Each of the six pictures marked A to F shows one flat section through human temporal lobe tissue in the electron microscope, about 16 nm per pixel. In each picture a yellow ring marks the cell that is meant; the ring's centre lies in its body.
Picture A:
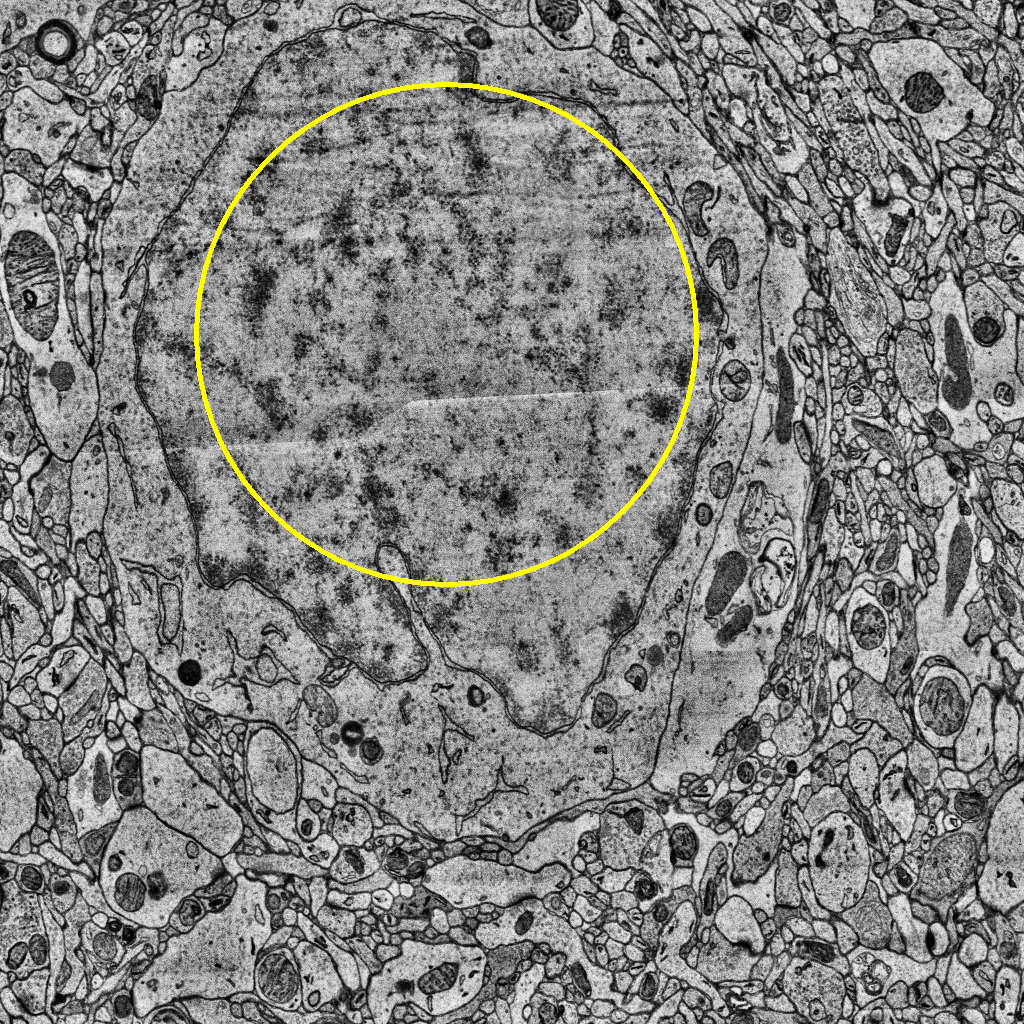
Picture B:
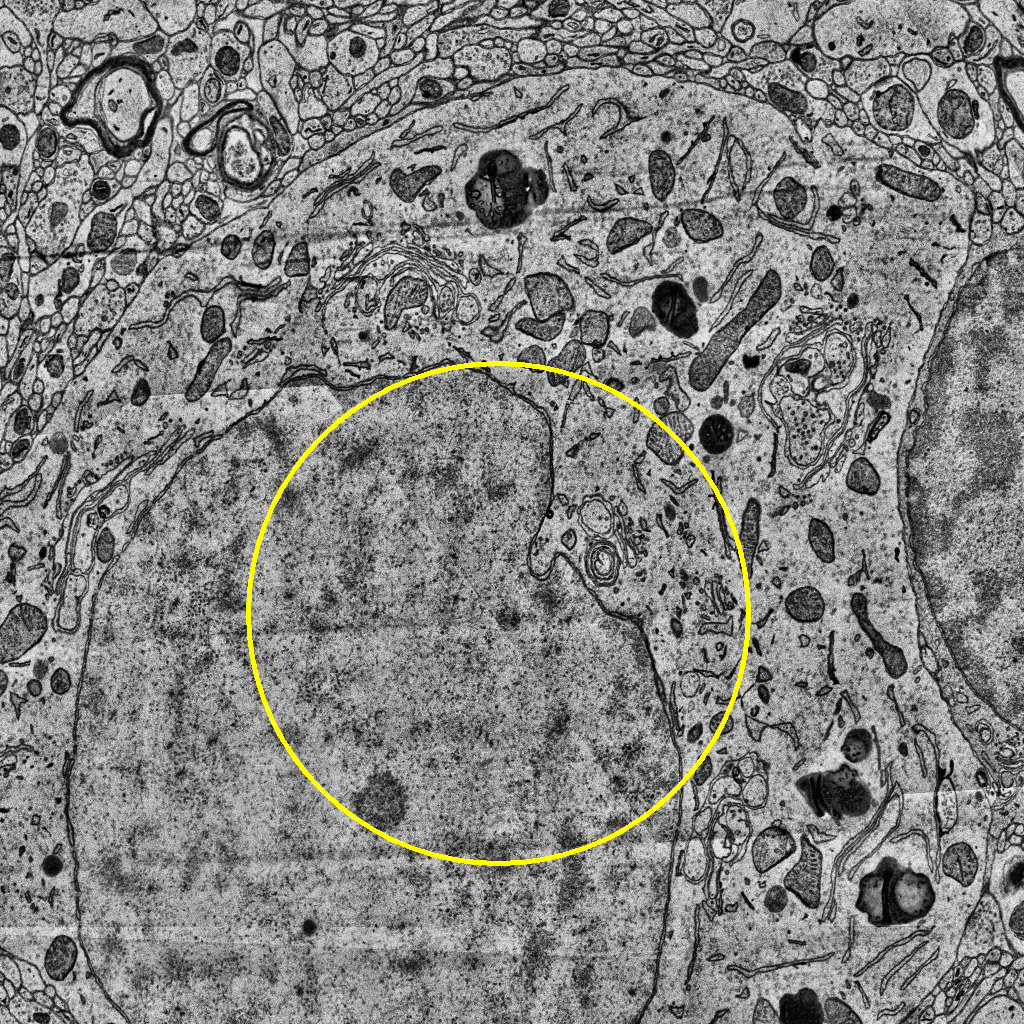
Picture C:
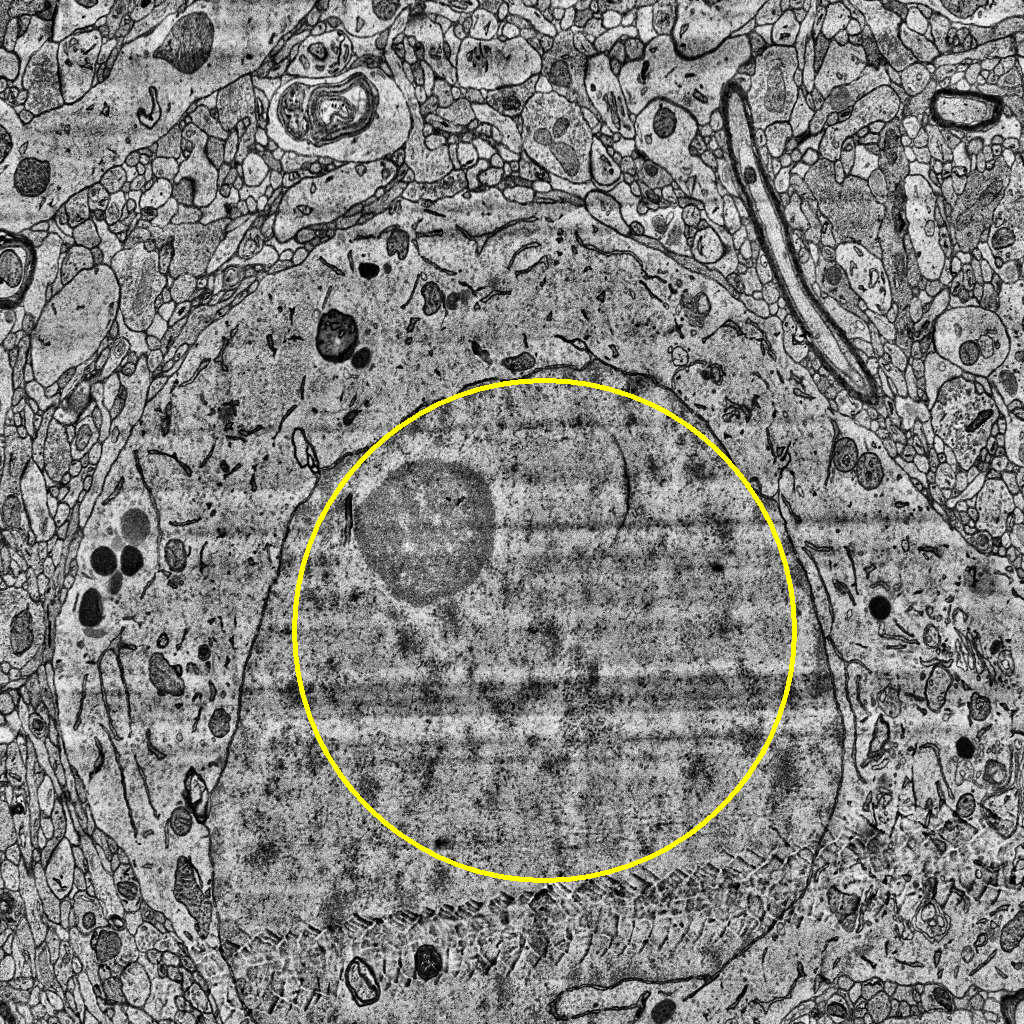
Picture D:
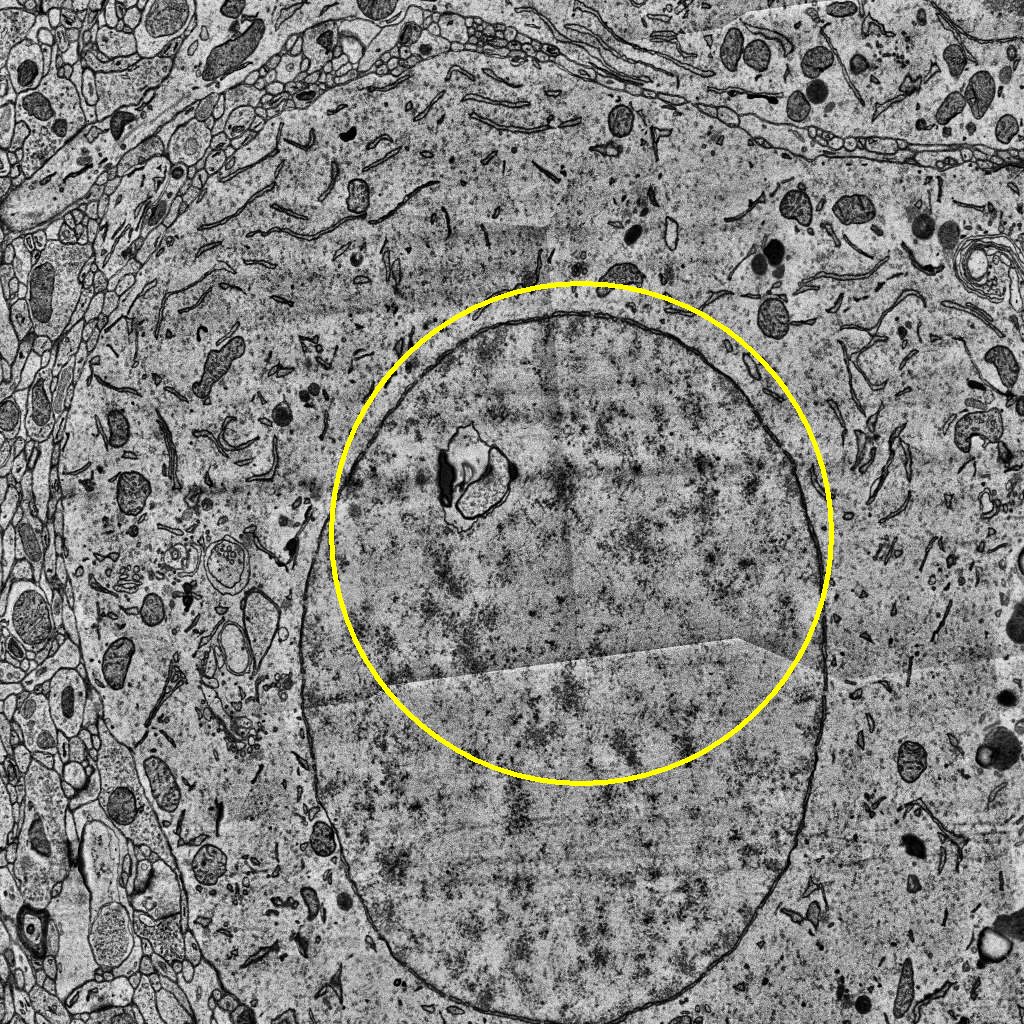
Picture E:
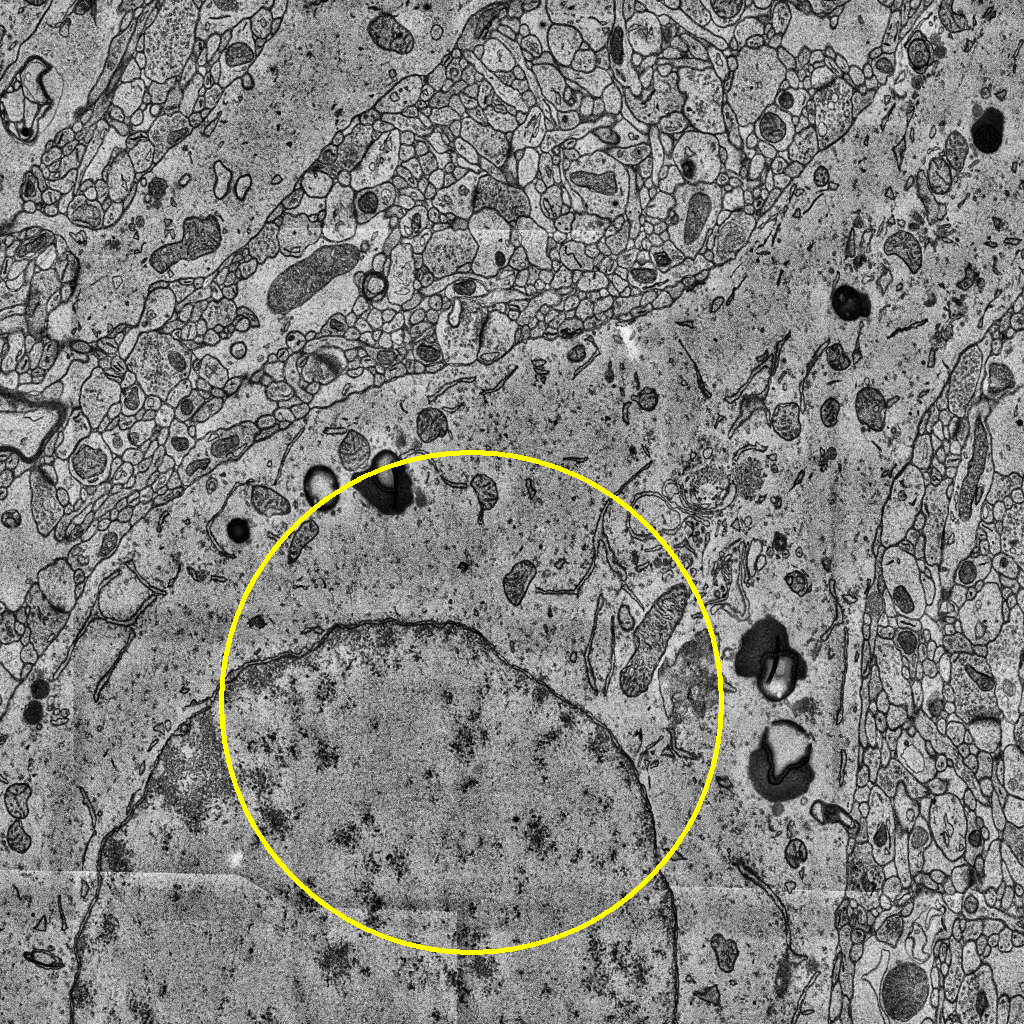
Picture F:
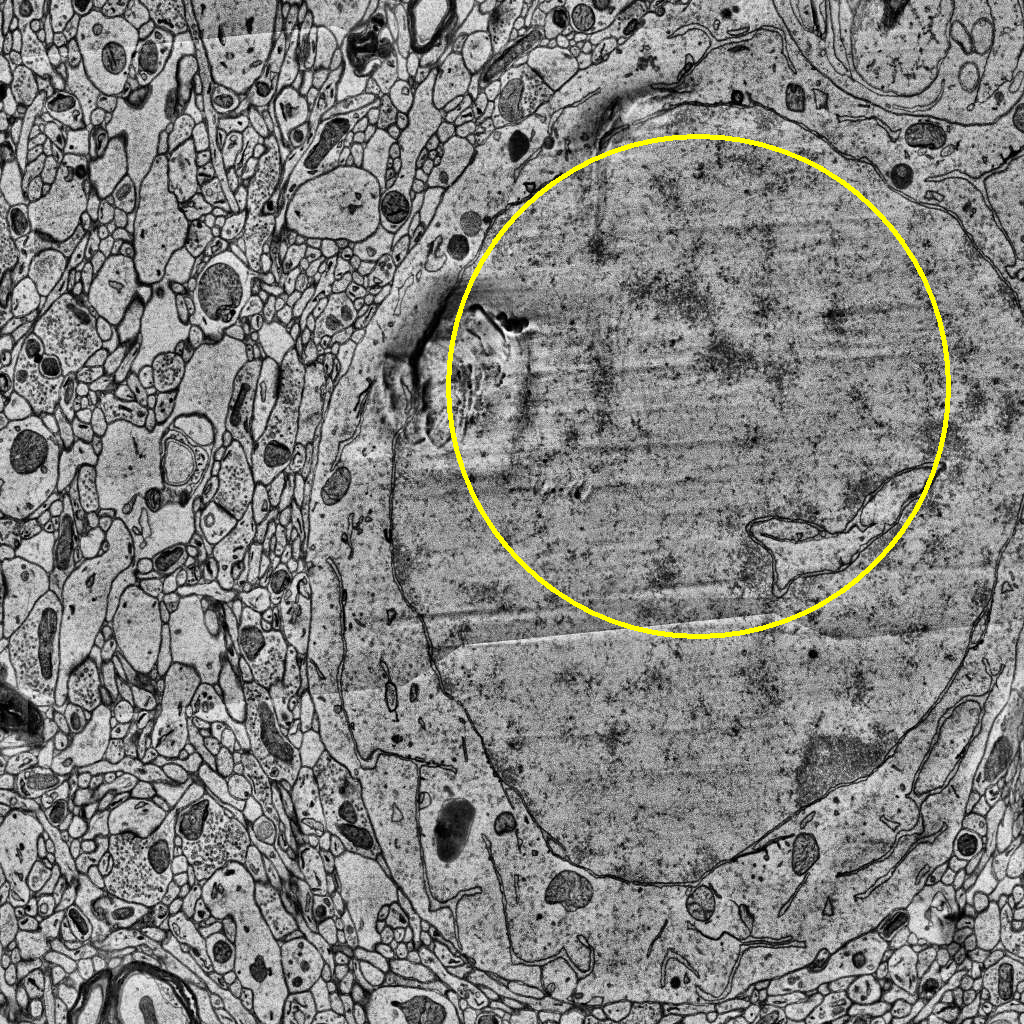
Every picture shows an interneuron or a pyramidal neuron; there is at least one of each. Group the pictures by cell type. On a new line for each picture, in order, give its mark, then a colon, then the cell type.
A: interneuron
B: interneuron
C: pyramidal neuron
D: pyramidal neuron
E: pyramidal neuron
F: interneuron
